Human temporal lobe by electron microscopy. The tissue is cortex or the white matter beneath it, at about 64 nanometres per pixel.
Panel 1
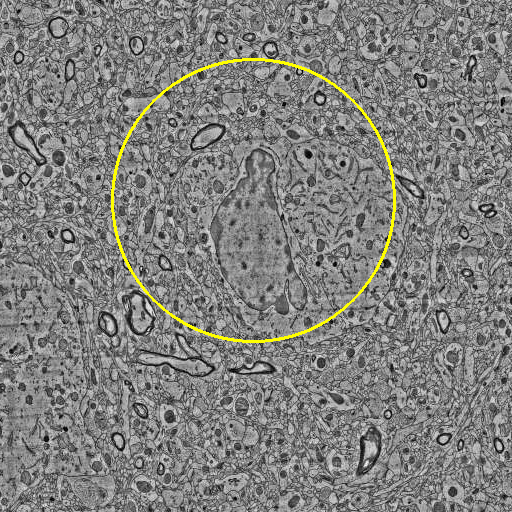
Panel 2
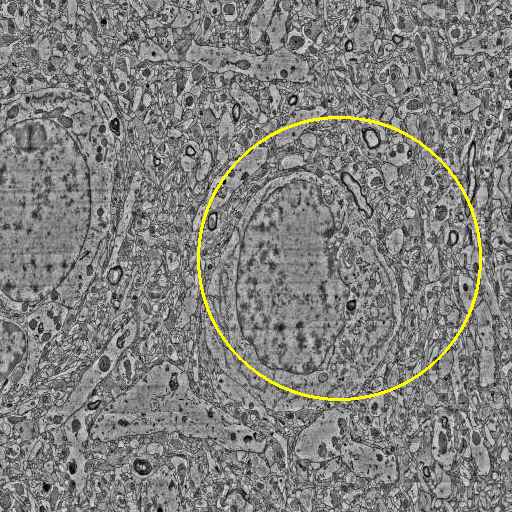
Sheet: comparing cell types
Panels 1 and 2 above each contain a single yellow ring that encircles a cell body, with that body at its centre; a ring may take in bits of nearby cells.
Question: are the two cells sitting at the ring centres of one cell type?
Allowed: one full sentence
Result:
No, the ring-centre cells in Panel 1 and Panel 2 are of two types.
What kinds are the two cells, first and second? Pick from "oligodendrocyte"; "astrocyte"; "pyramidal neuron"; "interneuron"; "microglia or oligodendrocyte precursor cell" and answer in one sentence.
The second picture holds an interneuron in its ring, and the first holds a microglial cell or oligodendrocyte precursor cell.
